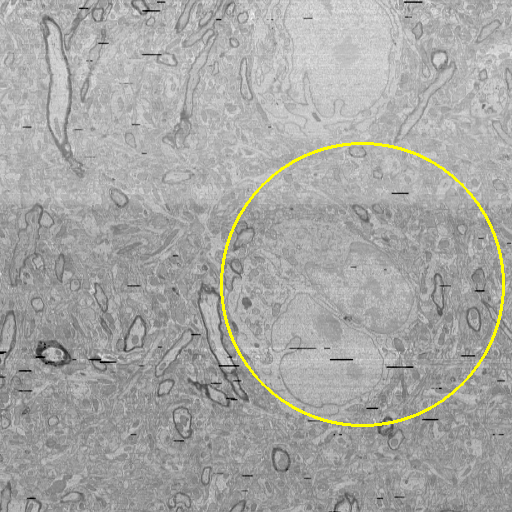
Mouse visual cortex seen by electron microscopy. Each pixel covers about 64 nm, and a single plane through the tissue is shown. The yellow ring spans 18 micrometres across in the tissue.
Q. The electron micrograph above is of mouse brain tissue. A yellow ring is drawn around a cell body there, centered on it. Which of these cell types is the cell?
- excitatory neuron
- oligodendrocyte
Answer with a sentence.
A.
The cell under the ring's center is an oligodendrocyte.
